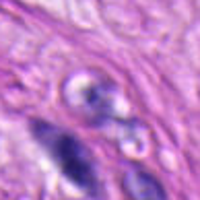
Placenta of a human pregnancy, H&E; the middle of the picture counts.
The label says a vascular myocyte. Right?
Right.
